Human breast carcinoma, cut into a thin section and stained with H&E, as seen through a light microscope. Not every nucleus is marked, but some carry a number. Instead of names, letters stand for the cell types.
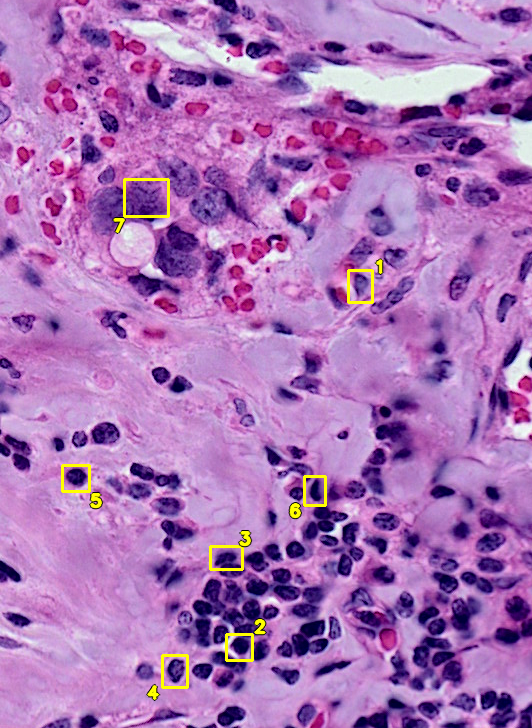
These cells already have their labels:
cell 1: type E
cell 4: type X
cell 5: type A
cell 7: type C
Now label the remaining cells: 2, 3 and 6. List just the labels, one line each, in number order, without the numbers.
type X
type X
type X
